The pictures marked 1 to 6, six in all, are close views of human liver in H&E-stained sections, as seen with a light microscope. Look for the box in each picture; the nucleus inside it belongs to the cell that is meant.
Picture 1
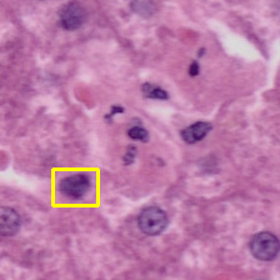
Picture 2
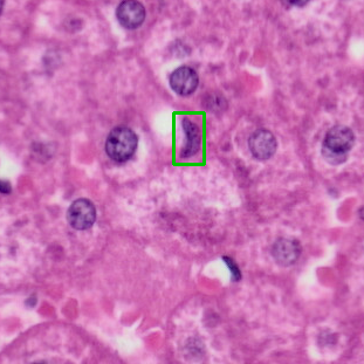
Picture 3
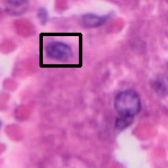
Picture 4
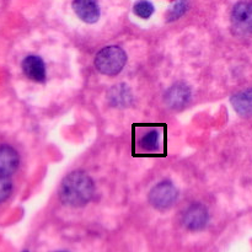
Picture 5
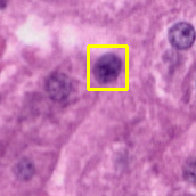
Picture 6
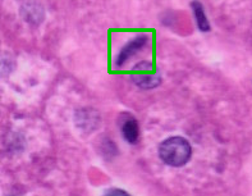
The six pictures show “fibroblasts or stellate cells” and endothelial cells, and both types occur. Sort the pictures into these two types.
1: fibroblast or stellate cell
2: endothelial cell
3: fibroblast or stellate cell
4: fibroblast or stellate cell
5: endothelial cell
6: fibroblast or stellate cell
